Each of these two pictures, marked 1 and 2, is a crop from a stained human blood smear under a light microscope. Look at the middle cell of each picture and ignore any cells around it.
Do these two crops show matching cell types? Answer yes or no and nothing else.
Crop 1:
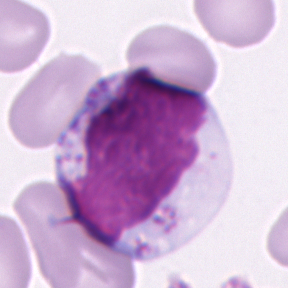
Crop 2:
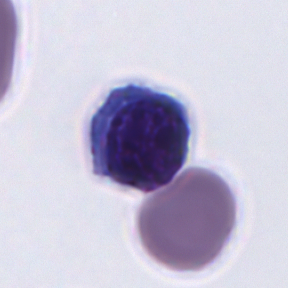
no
